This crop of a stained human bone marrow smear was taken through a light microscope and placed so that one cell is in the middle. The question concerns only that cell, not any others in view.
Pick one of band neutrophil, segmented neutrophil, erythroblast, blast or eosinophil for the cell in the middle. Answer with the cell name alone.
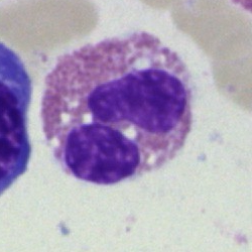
eosinophil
